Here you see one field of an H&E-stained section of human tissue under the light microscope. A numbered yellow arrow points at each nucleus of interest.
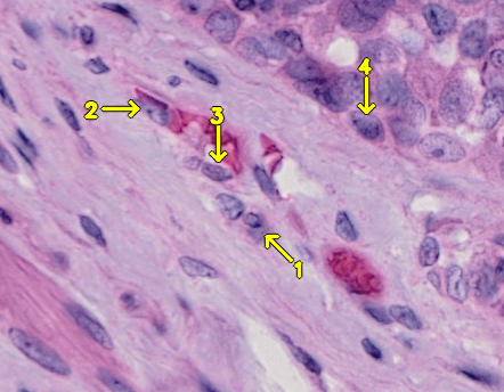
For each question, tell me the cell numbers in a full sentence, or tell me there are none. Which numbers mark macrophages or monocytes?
With the exception of cell 4, no marked cell is a macrophage or monocyte.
